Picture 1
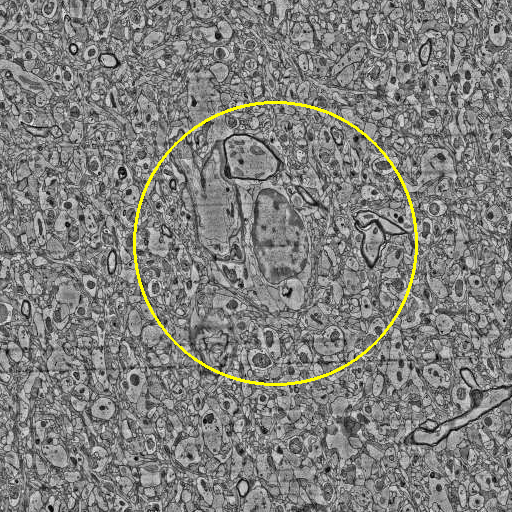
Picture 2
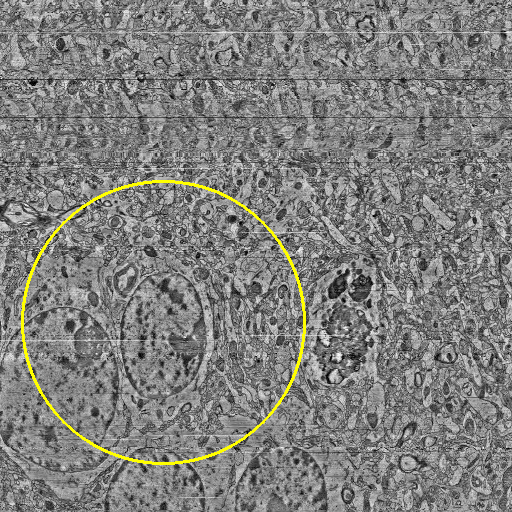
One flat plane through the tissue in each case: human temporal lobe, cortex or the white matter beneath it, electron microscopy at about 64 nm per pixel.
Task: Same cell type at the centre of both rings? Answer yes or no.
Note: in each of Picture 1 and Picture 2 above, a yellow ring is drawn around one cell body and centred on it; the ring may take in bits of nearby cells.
no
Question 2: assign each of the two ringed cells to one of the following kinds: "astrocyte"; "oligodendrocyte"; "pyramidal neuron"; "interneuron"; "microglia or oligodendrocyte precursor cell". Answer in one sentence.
The two cells are a microglial cell or oligodendrocyte precursor cell in the first picture and an astrocyte in the second.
